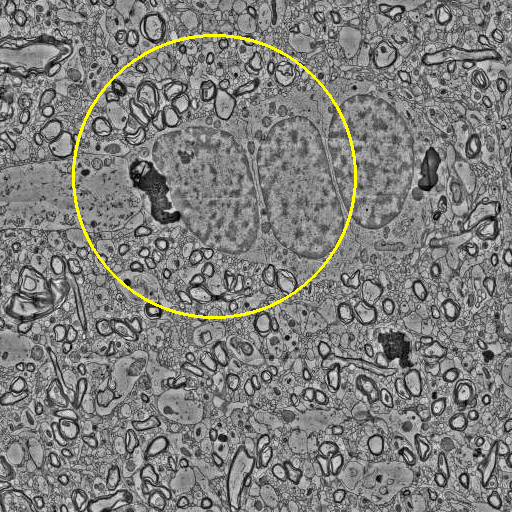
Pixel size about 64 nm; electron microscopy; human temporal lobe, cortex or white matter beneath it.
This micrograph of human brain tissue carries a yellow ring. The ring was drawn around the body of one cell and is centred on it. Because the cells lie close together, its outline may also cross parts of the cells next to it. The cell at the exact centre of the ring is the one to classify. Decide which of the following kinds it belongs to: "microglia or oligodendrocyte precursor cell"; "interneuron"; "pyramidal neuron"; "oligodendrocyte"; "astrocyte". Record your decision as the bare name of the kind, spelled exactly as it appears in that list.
oligodendrocyte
